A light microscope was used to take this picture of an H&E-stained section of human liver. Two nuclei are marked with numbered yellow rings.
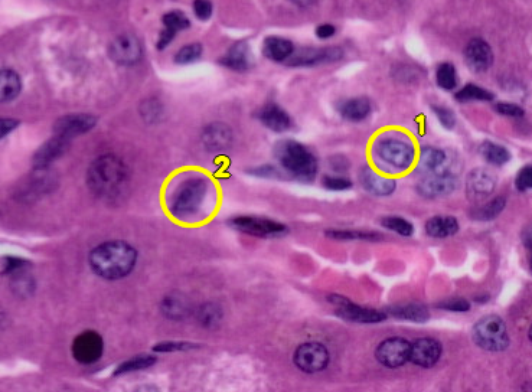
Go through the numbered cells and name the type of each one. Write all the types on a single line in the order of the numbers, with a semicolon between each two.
cholangiocyte; fibroblast or stellate cell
